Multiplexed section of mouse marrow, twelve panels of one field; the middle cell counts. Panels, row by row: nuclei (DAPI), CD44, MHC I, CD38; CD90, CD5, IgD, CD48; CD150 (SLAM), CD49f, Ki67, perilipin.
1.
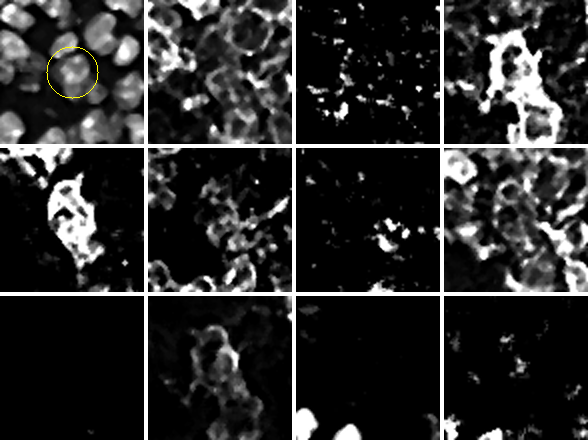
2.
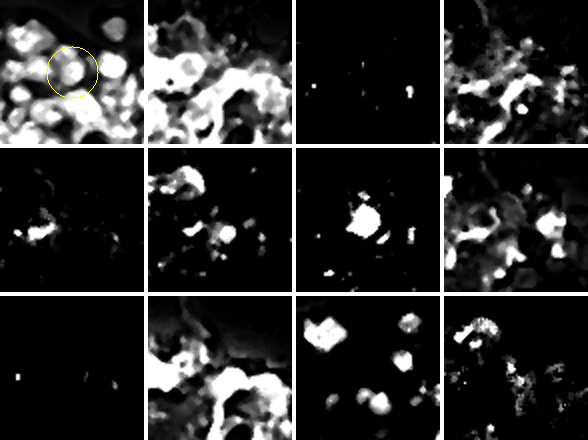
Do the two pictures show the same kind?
Yes, both are capillary endothelial cells.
